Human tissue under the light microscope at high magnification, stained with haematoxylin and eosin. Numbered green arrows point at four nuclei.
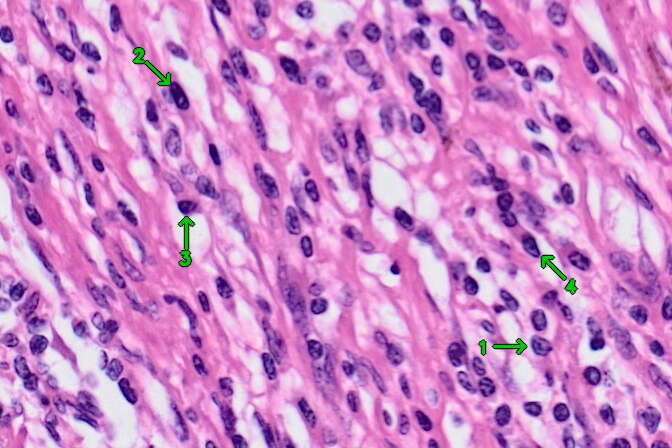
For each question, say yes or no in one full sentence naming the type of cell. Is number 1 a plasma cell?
No, number 1 corresponds to a lymphocyte, not a plasma cell.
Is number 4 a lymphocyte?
Yes, as for number 4, the cell is a lymphocyte.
